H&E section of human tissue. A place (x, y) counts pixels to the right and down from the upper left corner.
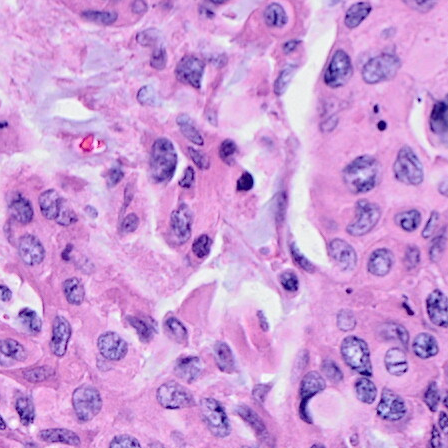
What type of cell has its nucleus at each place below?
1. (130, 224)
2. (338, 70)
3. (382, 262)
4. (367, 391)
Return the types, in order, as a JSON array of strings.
["macrophage or monocyte", "squamous carcinoma cell", "squamous carcinoma cell", "squamous carcinoma cell"]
